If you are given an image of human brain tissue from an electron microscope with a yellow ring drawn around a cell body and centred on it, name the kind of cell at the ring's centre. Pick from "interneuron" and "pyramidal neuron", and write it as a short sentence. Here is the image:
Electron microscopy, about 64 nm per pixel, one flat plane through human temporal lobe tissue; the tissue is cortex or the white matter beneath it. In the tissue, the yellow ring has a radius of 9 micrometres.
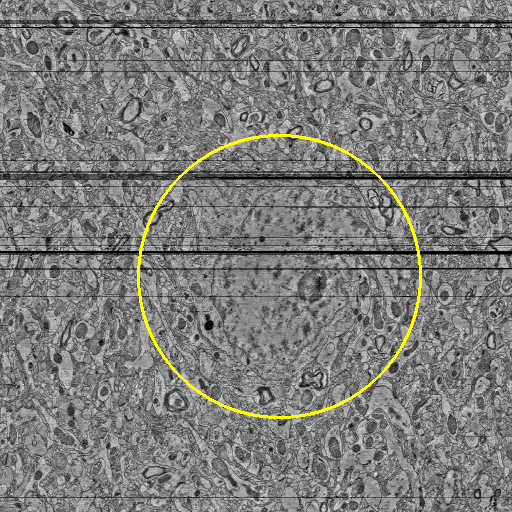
The cell at the ring's centre is an interneuron.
